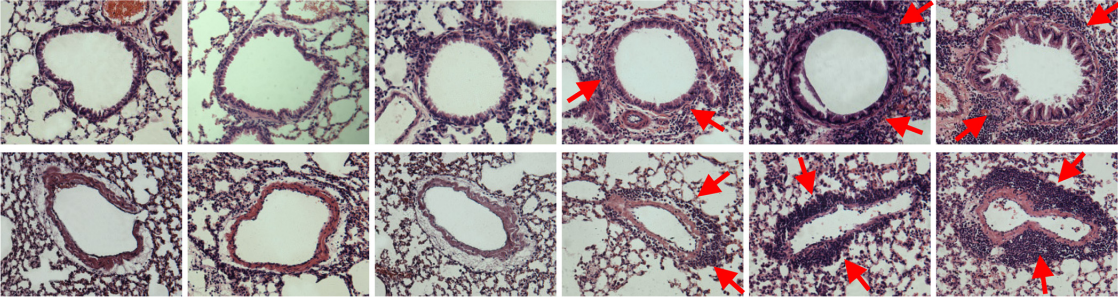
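This is lung tissue in cross-section, with an airway in each image of the top row and a blood vessel in each image of the bottom row, all surrounded by the lacy alveolar spaces. In the images on the left, the airway shows a thin lining of purple epithelial cells, and the vessel has a thin pink wall with almost nothing around it. Moving to the right, the tissue around both airways and vessels becomes thickened by dense sheets of small, round, dark purple nuclei, the inflammatory infiltrates that the red arrows mark. In the rightmost images, these cells form a broad cuff around each tube, and the airway lining appears folded.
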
